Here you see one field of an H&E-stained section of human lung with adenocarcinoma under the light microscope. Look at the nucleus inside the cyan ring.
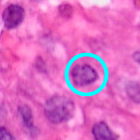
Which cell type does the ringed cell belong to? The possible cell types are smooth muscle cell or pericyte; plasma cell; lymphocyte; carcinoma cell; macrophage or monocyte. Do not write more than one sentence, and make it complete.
Among the cells in this section, the ringed cell is a macrophage or monocyte.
